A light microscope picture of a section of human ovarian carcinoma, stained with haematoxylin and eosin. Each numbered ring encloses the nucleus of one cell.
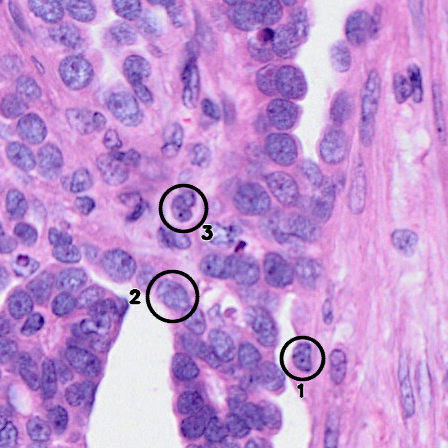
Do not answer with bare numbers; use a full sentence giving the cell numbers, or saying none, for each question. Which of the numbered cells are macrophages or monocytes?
Identification: the cells with numbers 1 and 3 are macrophages or monocytes.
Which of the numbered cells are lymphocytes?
Honestly, none of the numbered cells are lymphocytes.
